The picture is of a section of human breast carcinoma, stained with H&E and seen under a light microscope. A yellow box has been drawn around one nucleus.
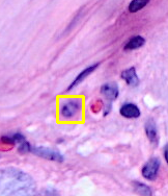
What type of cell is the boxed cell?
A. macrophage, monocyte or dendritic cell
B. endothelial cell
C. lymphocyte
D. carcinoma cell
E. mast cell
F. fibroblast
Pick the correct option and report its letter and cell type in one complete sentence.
Option E names it right: the boxed cell is a mast cell.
